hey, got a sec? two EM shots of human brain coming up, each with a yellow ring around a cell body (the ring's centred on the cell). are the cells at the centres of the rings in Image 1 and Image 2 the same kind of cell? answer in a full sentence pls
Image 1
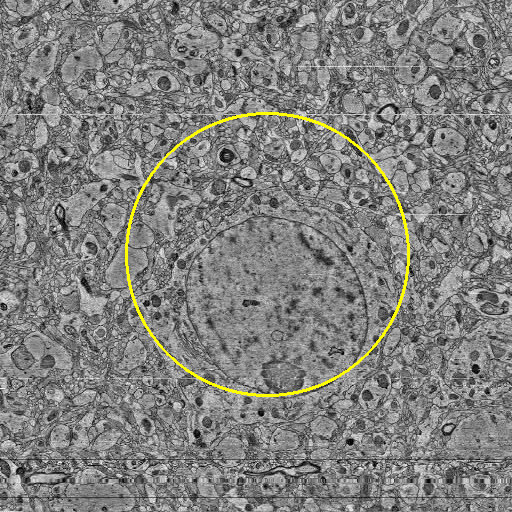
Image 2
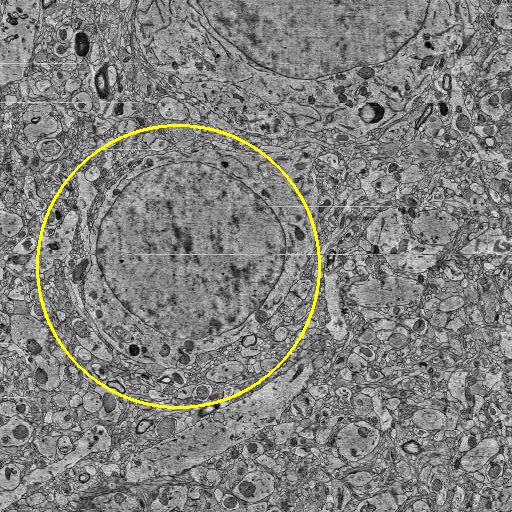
Yes, both are the same kind of cell.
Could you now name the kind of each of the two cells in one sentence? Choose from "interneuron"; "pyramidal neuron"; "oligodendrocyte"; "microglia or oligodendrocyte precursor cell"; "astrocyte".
Each of the ringed cells, first and second, is a pyramidal neuron.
